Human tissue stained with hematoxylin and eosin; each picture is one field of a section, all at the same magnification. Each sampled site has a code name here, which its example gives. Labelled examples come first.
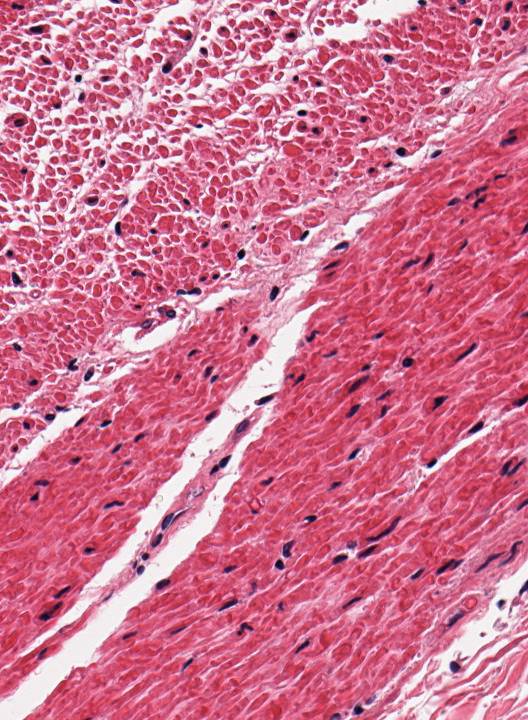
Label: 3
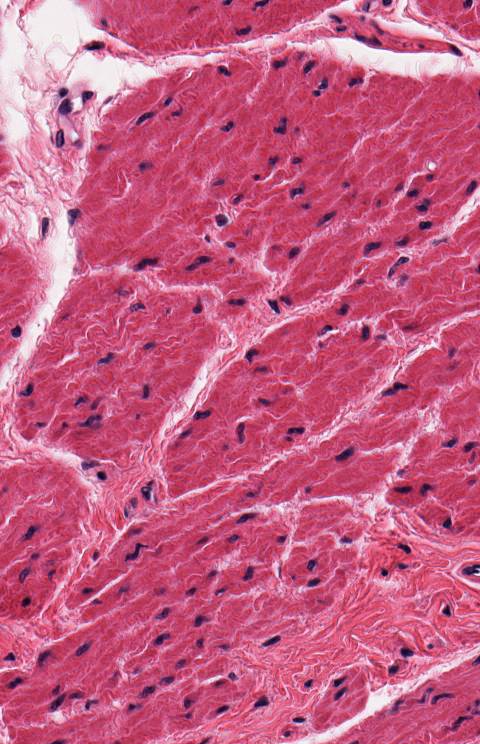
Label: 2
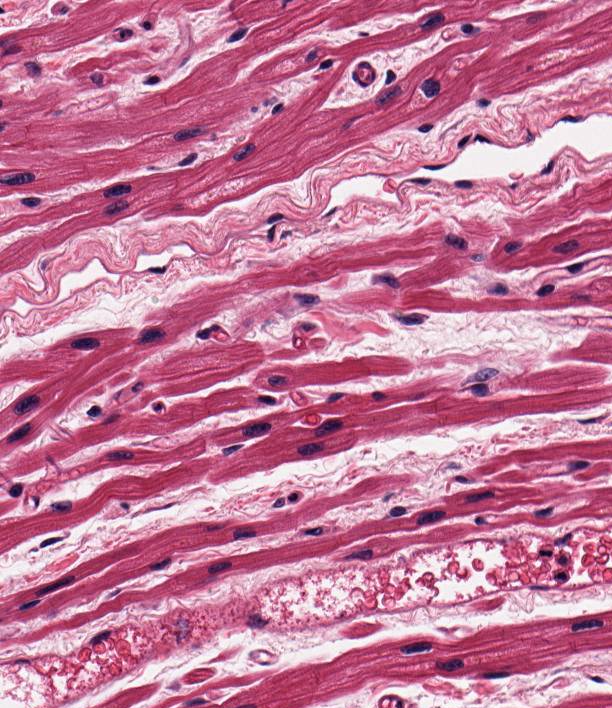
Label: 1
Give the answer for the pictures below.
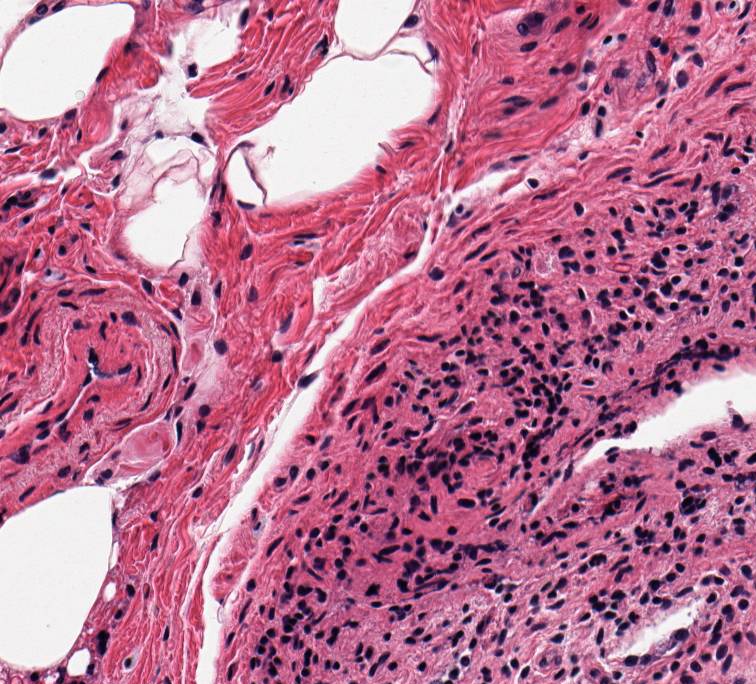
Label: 3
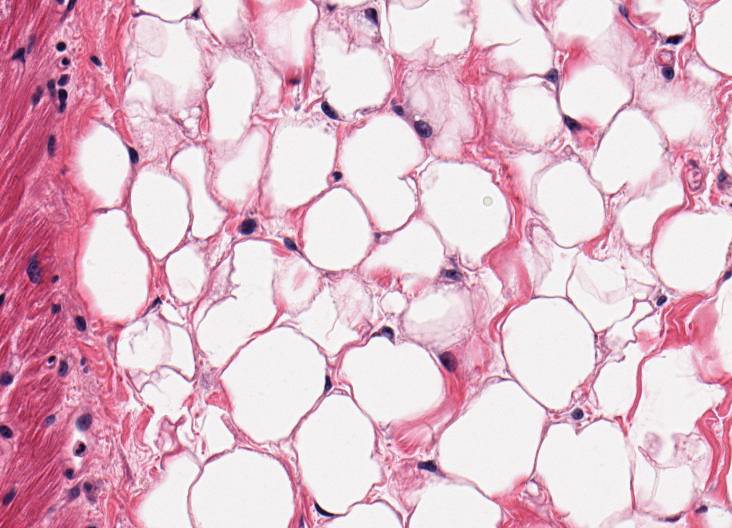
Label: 1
